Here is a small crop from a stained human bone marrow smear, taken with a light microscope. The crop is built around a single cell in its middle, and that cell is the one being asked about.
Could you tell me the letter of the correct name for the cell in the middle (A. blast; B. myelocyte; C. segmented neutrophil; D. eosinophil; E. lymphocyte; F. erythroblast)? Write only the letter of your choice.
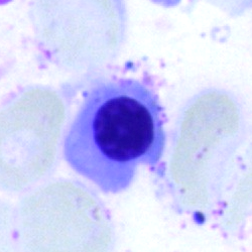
F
